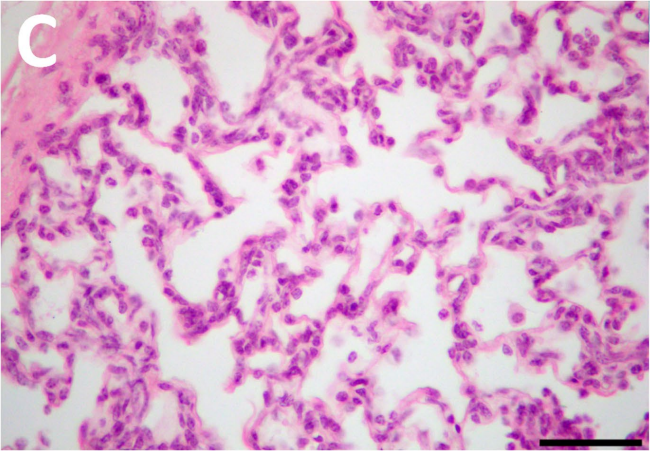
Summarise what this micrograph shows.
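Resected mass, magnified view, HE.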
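Alveolus-like tissue of open, irregular airspaces divided by thin septa. A band of pale pink fibrous tissue lies at the upper left edge.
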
